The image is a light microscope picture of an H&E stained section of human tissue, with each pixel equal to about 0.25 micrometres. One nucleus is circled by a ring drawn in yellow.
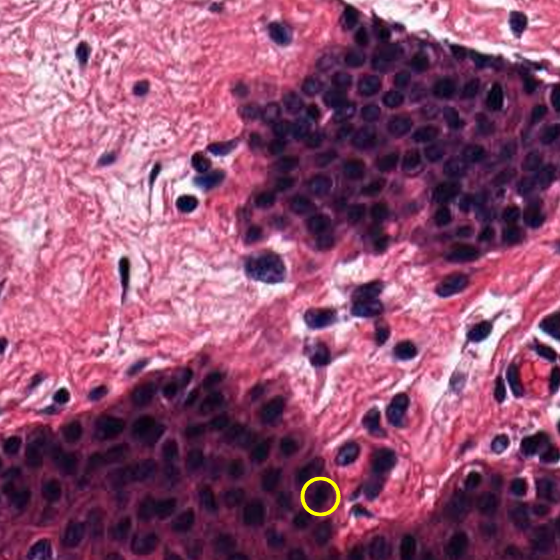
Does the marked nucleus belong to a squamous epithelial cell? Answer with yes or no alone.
yes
